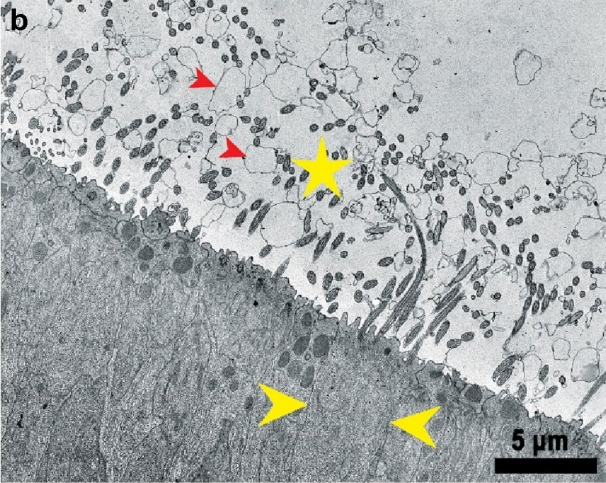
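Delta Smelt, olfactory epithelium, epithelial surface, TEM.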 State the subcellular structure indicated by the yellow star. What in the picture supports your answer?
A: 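Many round and oval dark profiles lie in the space above the epithelial surface. Some long slender processes project from the surface into that space.
Answer: cilia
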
